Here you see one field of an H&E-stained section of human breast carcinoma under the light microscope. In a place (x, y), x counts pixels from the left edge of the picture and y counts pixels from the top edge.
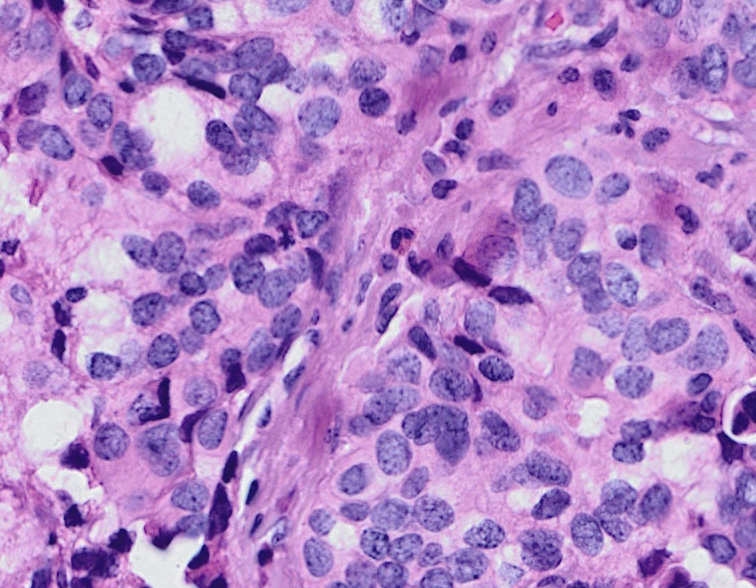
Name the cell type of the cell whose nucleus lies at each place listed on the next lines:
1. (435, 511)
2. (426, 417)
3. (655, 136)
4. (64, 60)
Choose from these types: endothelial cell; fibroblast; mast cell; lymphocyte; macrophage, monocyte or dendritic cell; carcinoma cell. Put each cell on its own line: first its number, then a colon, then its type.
1: carcinoma cell
2: carcinoma cell
3: mast cell
4: carcinoma cell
